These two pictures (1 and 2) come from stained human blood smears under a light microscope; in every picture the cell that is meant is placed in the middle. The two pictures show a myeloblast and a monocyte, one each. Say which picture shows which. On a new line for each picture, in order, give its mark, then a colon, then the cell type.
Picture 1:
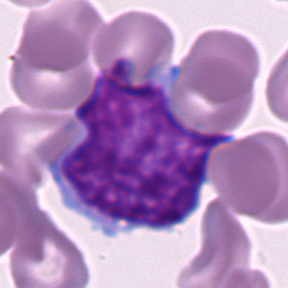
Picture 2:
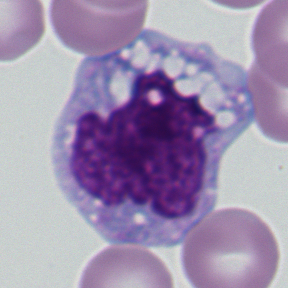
1: myeloblast
2: monocyte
